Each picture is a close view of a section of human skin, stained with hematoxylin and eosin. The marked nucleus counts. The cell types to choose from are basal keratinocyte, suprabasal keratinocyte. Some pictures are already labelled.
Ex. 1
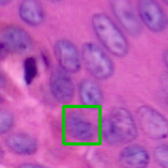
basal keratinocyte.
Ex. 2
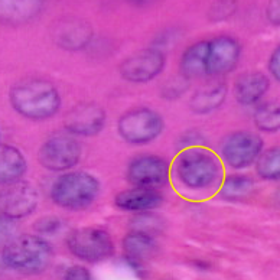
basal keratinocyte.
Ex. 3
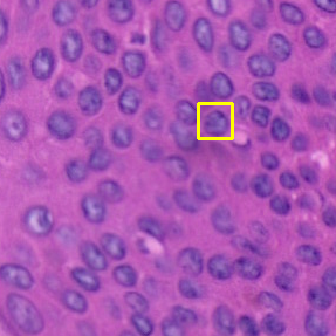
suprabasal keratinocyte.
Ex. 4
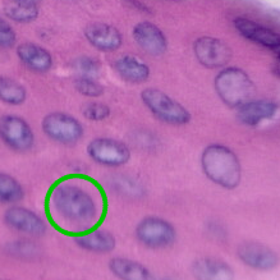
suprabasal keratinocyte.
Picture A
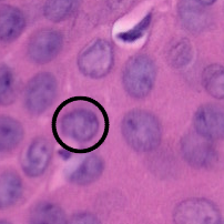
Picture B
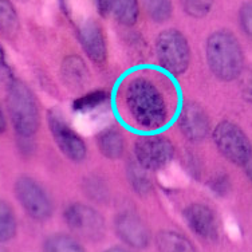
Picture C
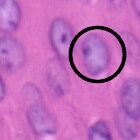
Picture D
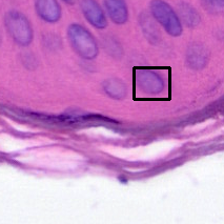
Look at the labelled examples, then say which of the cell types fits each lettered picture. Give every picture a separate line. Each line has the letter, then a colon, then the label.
A: suprabasal keratinocyte.
B: basal keratinocyte.
C: suprabasal keratinocyte.
D: suprabasal keratinocyte.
